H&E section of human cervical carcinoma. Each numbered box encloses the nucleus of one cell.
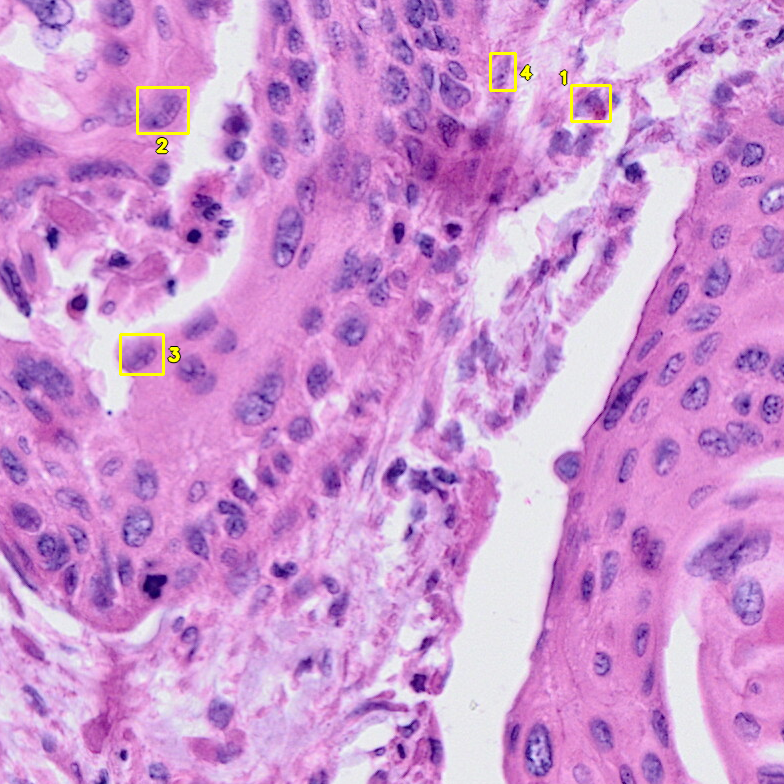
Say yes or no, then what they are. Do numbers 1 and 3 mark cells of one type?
No, sorry to say, cell 1 is a fibroblast and cell 3 is a squamous carcinoma cell.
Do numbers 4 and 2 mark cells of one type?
No, the cell bearing number 4 is a fibroblast, while the one bearing number 2 is a squamous carcinoma cell.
